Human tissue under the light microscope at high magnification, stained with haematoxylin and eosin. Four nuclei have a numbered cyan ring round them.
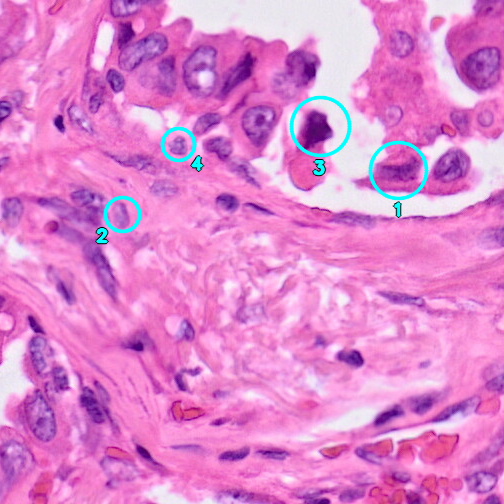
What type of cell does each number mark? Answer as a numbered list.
1. carcinoma cell
2. mast cell
3. carcinoma cell
4. lymphocyte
